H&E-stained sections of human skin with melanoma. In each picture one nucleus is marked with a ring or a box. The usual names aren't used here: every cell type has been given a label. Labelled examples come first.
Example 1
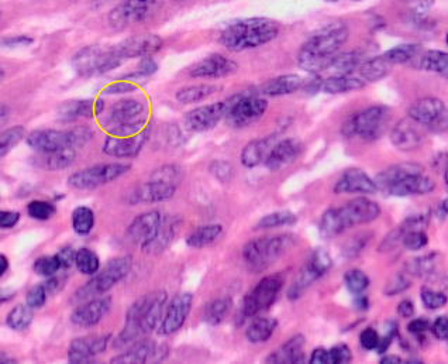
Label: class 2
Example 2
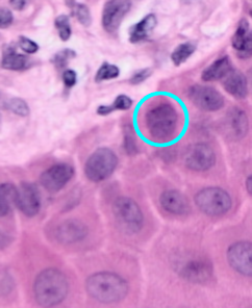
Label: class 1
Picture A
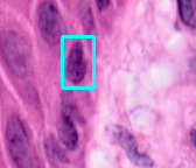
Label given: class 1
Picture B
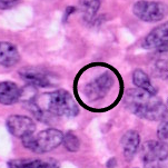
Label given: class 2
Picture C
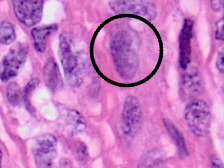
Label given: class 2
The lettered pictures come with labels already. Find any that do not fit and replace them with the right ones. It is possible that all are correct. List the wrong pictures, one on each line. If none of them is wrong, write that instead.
All correct.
